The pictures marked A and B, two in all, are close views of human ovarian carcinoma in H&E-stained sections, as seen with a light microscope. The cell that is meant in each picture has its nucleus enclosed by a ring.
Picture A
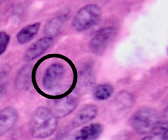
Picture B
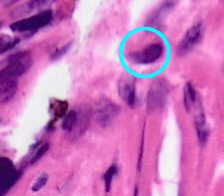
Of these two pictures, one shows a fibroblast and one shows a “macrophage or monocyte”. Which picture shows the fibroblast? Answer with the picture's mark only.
B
